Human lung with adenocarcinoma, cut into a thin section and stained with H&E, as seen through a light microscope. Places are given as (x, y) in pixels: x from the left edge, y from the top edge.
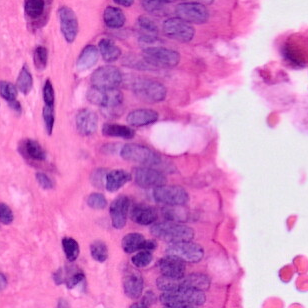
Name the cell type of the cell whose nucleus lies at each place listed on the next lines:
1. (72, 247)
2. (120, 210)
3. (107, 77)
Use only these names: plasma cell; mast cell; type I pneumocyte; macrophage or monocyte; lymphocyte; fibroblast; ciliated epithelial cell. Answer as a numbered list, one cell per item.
1. lymphocyte
2. ciliated epithelial cell
3. ciliated epithelial cell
